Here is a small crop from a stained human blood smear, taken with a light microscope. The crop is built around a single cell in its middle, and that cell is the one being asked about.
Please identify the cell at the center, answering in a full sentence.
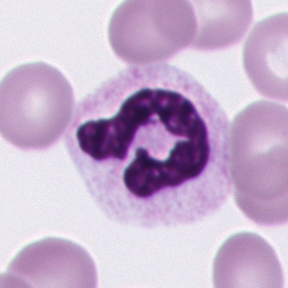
The central cell in this smear crop is a segmented neutrophil.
